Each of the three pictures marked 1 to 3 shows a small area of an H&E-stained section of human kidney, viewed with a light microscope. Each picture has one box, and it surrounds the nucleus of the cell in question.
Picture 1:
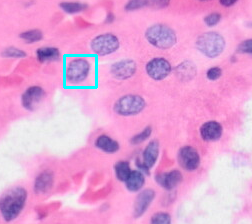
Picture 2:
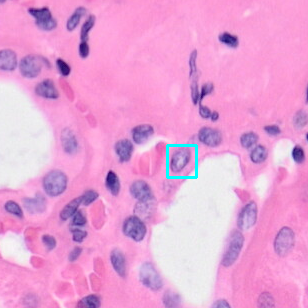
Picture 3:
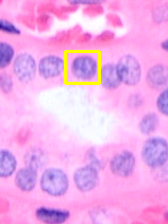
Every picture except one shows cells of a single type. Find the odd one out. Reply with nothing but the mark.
1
